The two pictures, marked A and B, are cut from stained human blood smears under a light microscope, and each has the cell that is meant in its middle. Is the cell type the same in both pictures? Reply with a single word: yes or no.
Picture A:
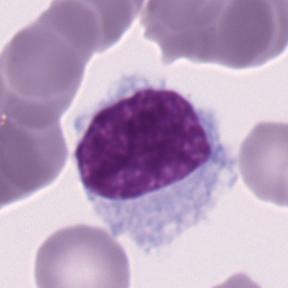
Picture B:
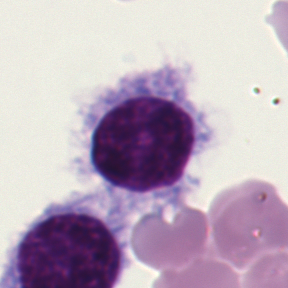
yes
